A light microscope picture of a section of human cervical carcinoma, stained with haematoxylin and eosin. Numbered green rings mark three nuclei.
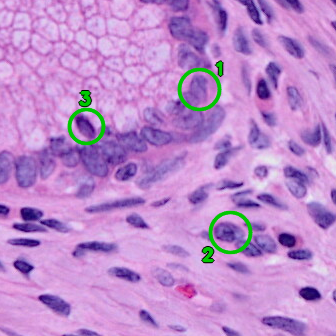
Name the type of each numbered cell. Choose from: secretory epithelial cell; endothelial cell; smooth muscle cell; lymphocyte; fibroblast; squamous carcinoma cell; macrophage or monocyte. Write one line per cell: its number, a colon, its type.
1: secretory epithelial cell
2: endothelial cell
3: secretory epithelial cell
